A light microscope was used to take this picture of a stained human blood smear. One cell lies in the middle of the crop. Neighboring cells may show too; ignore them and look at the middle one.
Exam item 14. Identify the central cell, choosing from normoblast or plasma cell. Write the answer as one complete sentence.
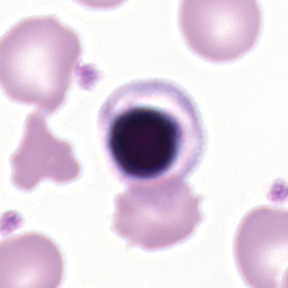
Within this crop, a normoblast occupies the central position.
